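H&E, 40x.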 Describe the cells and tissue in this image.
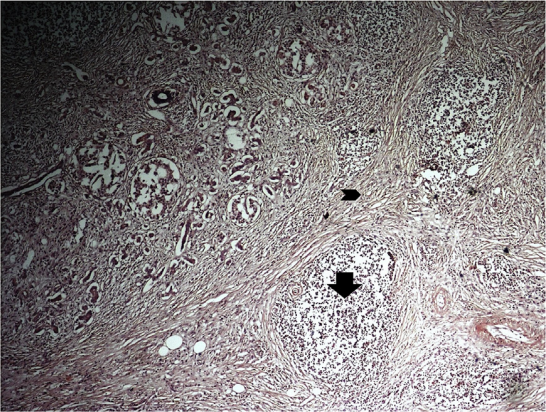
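This low-power view shows a gland-bearing tissue broken up into rounded nodules by thick bands of fibrous tissue. The fibrous bands are pale pink, with wavy fibres and slender spindle-shaped nuclei, and they wrap around the nodules in concentric layers. Inside the nodules lie crowded small cells with dark round nuclei and scant cytoplasm, a dense inflammatory infiltrate. In the upper left, some lobules still hold small glandular structures with open lumens, while the infiltrated nodules show little remaining glandular tissue. Small blood vessels with thick pink walls run through the fibrous tissue at the lower right.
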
